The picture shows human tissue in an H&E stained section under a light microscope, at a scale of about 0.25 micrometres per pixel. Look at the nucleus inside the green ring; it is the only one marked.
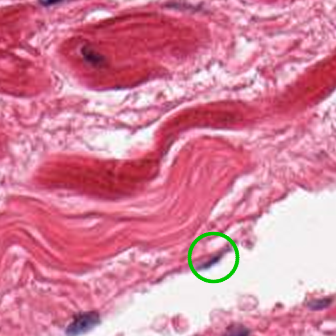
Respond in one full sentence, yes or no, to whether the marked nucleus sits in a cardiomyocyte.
No, the marked nucleus is not part of a cardiomyocyte and instead belongs to a supporting cell.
